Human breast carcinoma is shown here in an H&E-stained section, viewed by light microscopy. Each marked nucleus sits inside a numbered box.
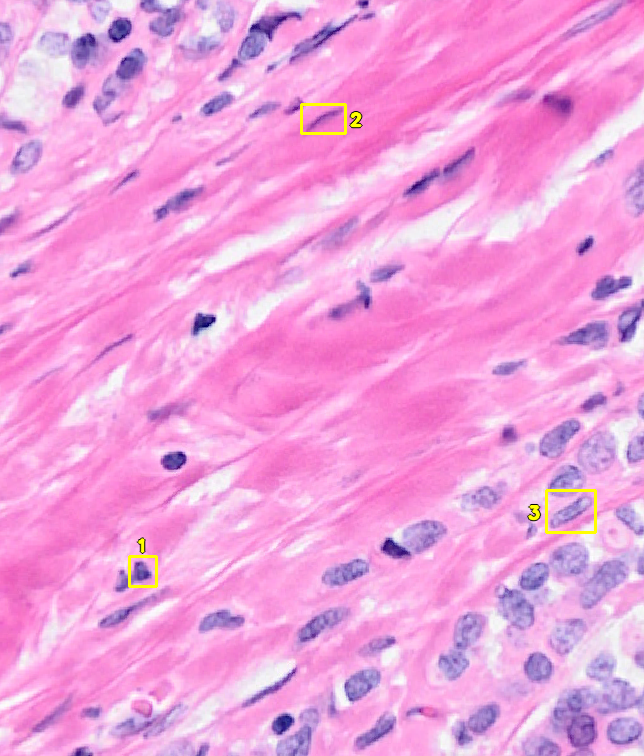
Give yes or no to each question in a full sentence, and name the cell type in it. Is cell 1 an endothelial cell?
No, the cell with the number 1 is a lymphocyte, not an endothelial cell.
